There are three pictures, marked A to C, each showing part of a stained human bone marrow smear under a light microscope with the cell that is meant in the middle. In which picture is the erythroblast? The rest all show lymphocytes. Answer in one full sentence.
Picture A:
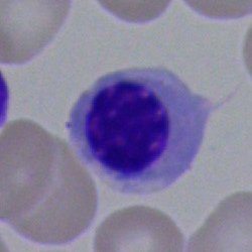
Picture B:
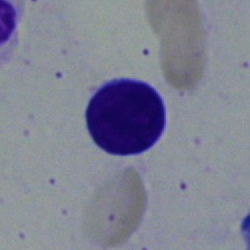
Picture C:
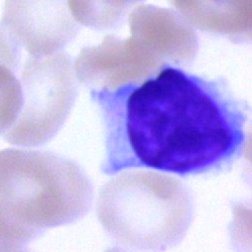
The erythroblast is the one in picture A.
